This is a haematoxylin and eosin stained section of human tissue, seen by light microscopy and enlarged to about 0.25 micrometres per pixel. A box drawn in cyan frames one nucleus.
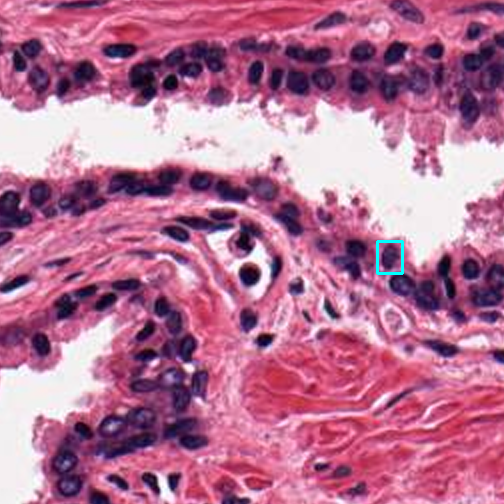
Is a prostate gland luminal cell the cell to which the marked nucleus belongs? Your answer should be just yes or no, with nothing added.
yes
